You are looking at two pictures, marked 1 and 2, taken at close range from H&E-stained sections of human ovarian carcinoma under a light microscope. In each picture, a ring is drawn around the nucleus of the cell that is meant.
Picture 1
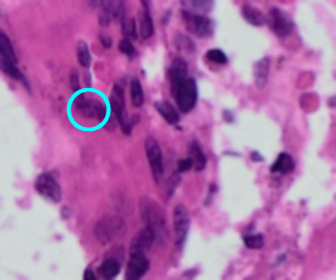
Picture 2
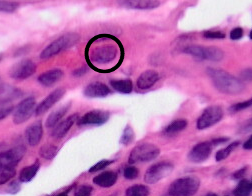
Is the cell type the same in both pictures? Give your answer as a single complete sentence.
Yes, they are the same type: both are endothelial cells.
